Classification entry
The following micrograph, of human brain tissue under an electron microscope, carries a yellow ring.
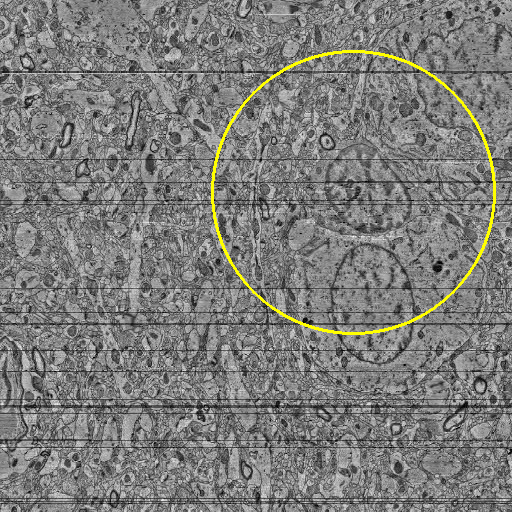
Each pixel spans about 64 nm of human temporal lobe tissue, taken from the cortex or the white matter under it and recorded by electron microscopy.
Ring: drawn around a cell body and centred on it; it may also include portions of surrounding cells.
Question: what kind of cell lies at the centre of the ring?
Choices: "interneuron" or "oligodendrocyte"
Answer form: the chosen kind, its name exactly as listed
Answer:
oligodendrocyte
